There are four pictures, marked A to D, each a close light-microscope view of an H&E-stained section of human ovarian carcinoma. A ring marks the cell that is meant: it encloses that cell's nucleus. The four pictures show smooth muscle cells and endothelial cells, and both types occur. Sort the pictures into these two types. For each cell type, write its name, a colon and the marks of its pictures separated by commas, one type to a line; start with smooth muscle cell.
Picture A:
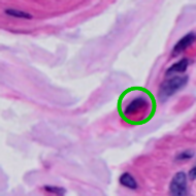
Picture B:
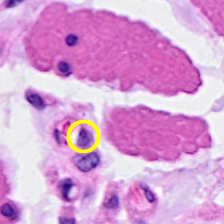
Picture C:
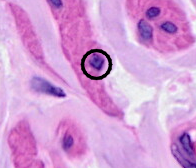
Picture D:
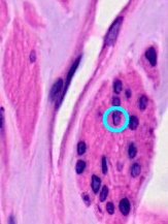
smooth muscle cell: C, D
endothelial cell: A, B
